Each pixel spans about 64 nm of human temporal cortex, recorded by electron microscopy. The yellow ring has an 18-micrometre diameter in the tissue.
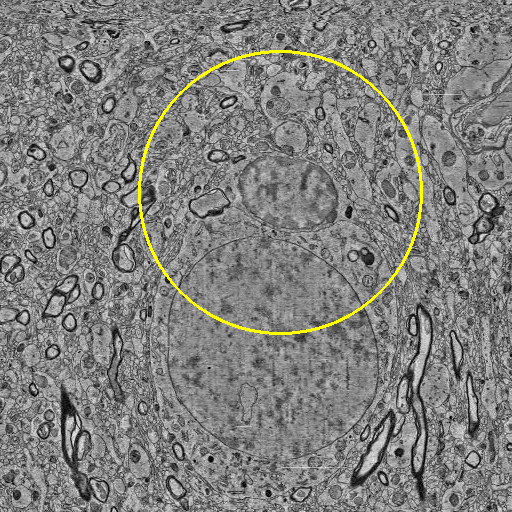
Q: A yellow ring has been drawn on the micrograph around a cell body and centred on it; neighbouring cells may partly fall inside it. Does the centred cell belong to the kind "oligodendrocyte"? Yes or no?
Yes, it belongs to that kind.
